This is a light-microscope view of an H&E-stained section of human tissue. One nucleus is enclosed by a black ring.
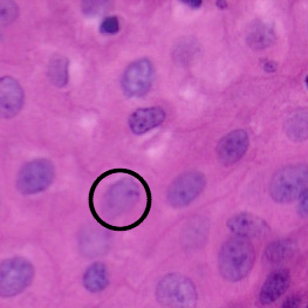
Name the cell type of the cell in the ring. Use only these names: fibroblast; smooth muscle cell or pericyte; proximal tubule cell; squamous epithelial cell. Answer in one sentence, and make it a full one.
Just put down that the cell in the ring is a squamous epithelial cell.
